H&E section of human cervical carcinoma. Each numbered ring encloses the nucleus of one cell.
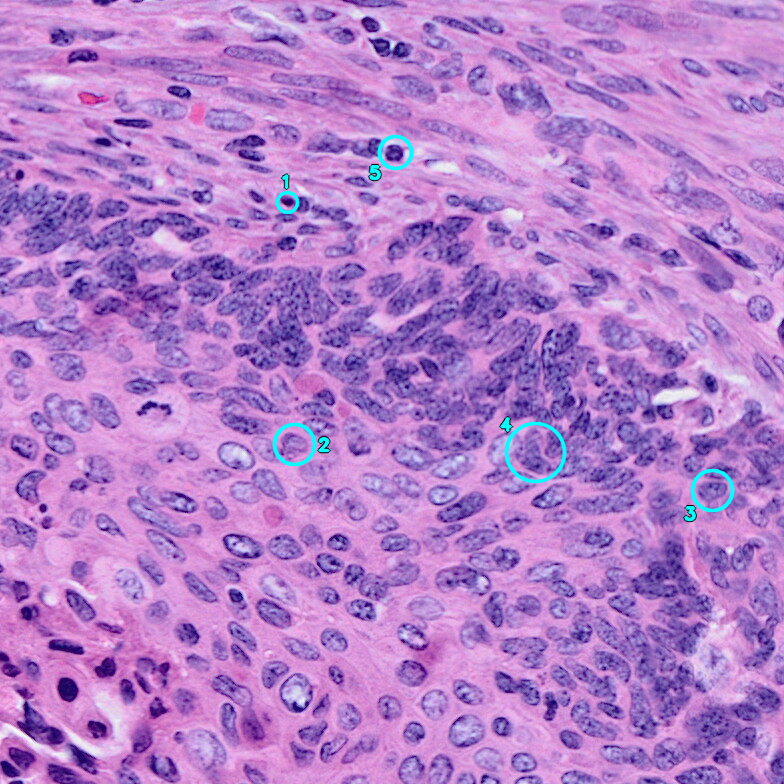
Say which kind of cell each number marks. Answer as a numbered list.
1. lymphocyte
2. squamous carcinoma cell
3. squamous carcinoma cell
4. squamous carcinoma cell
5. lymphocyte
